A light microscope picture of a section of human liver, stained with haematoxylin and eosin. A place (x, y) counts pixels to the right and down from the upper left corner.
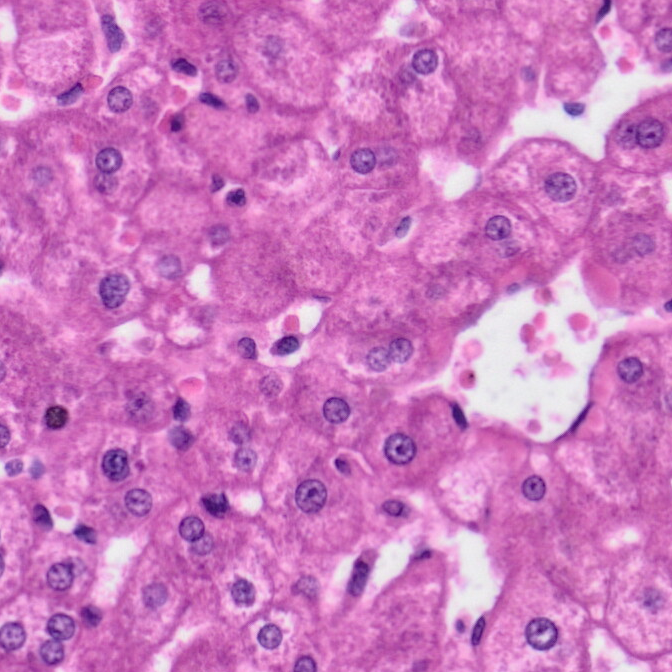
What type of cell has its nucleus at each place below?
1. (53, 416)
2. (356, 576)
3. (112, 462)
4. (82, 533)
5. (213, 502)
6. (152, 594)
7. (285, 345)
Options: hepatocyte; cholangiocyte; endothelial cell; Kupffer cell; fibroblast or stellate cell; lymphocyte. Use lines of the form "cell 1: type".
cell 1: hepatocyte
cell 2: Kupffer cell
cell 3: hepatocyte
cell 4: fibroblast or stellate cell
cell 5: fibroblast or stellate cell
cell 6: hepatocyte
cell 7: Kupffer cell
